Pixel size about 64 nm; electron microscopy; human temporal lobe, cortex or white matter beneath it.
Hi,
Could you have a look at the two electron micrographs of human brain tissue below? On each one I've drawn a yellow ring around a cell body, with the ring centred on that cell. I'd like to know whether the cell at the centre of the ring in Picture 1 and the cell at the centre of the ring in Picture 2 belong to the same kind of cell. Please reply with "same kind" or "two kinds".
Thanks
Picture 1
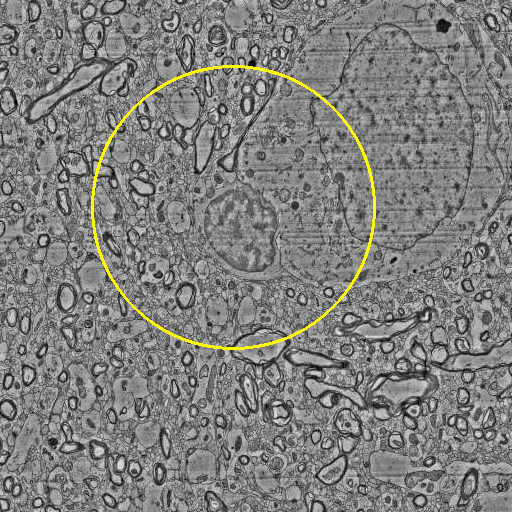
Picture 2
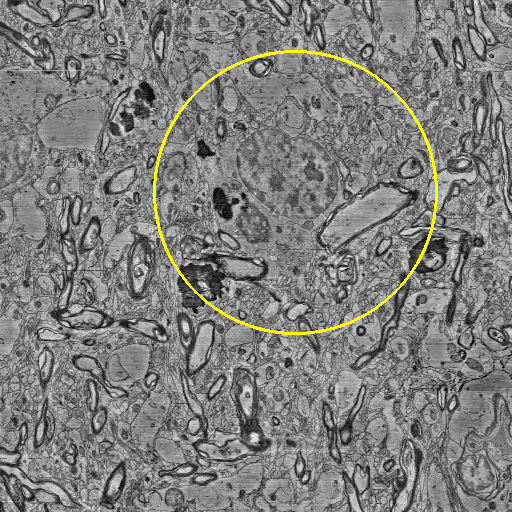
same kind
